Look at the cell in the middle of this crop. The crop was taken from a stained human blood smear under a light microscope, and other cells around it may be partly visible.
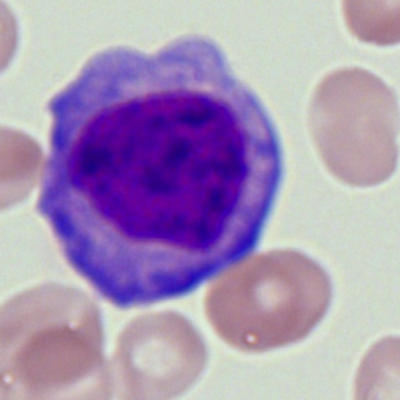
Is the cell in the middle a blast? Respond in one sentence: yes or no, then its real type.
Yes, the cell at the heart of the crop is a blast.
